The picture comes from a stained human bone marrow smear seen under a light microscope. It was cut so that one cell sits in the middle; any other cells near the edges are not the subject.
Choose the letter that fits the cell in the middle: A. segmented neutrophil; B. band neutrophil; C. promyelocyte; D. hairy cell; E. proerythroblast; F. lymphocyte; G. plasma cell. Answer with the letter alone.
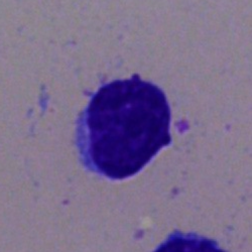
F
